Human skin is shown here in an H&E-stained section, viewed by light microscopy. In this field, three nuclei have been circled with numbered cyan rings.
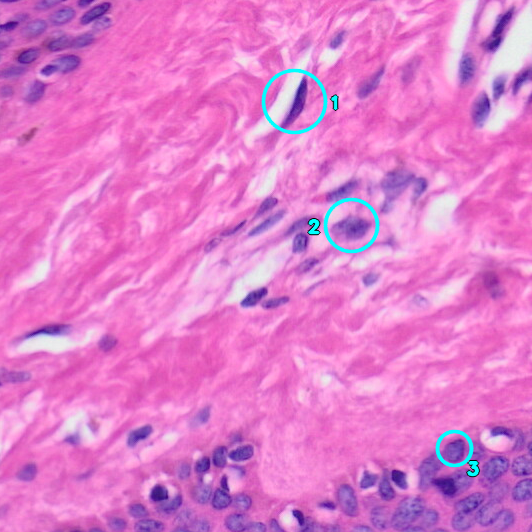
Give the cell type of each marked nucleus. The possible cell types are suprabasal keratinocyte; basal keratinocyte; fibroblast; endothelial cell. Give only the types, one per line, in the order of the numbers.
fibroblast
endothelial cell
basal keratinocyte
